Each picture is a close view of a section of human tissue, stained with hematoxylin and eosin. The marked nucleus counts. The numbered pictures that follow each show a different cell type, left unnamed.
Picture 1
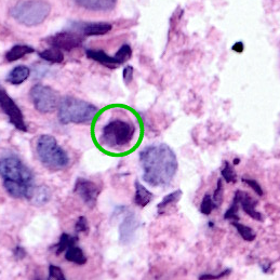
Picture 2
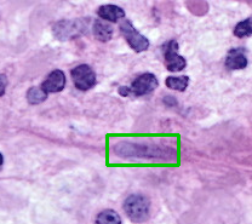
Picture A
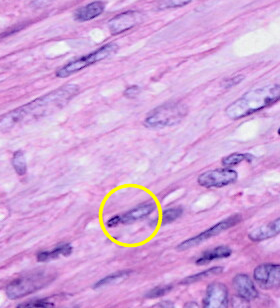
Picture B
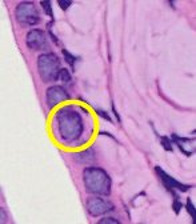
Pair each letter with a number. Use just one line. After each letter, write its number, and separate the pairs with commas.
A 2, B 1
